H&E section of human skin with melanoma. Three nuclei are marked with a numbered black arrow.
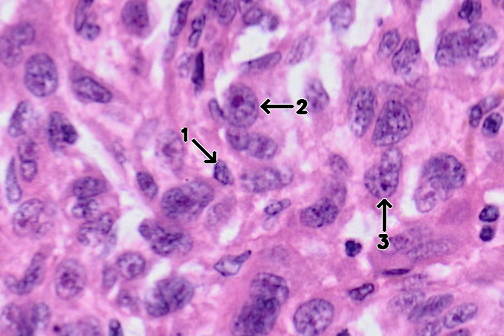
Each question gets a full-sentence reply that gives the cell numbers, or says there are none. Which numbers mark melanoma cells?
The numbers 2 and 3 refer to cells that are melanoma cells.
